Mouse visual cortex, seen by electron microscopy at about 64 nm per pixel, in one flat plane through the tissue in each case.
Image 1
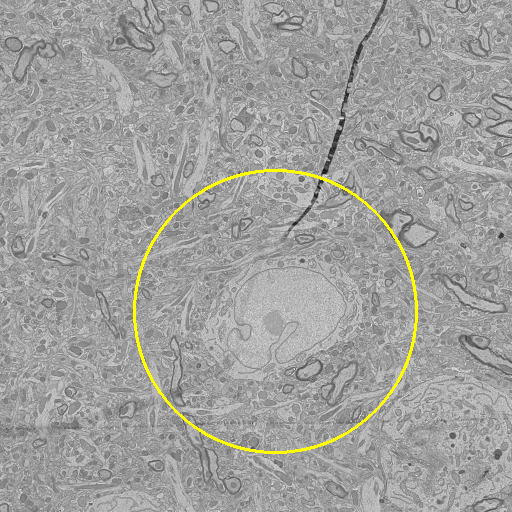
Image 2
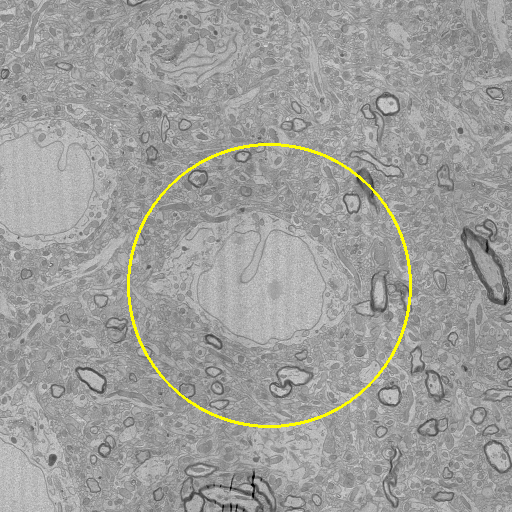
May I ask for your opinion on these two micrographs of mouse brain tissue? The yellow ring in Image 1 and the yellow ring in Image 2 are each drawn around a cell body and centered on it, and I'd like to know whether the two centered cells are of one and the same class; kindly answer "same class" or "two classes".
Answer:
same class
